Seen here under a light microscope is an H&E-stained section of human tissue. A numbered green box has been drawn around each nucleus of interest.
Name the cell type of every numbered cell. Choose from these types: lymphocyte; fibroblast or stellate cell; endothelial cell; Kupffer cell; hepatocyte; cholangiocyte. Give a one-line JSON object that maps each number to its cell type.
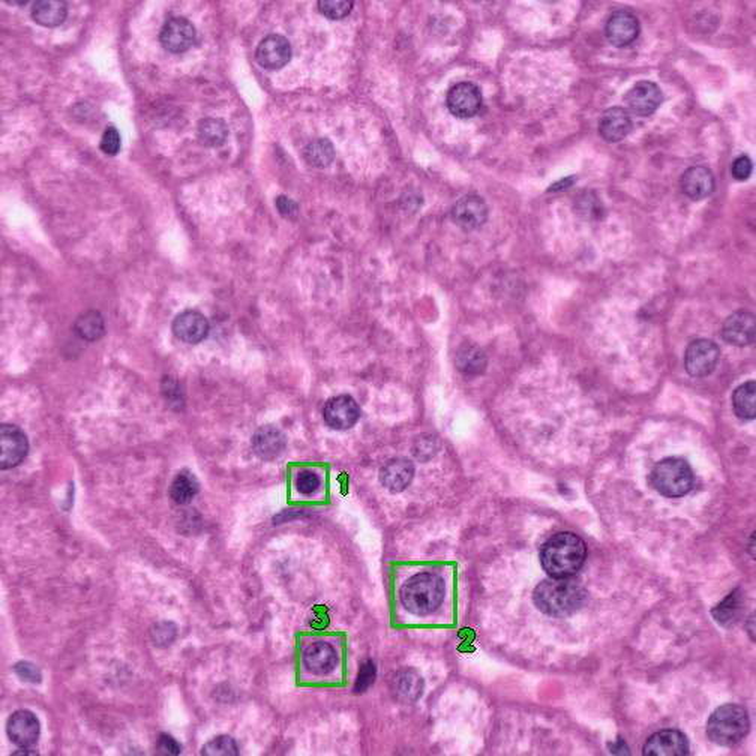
{"1": "lymphocyte", "2": "hepatocyte", "3": "hepatocyte"}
